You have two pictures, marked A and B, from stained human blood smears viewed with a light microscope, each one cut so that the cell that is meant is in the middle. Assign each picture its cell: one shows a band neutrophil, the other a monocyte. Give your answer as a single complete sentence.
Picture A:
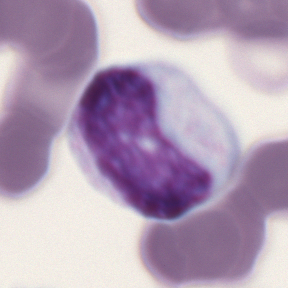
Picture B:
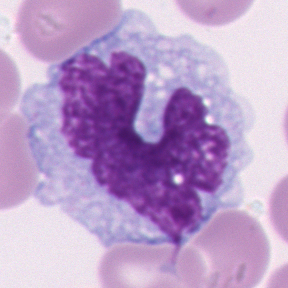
Picture A is of a band neutrophil, and picture B is of a monocyte.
